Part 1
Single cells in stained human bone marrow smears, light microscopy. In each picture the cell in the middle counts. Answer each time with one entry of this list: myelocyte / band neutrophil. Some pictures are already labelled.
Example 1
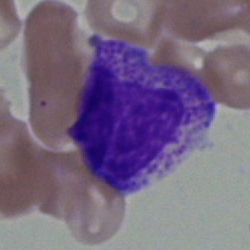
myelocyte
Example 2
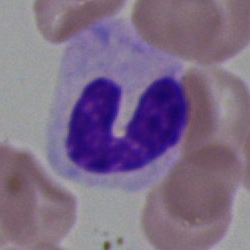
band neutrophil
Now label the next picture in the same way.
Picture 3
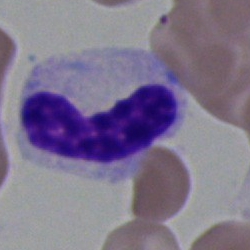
band neutrophil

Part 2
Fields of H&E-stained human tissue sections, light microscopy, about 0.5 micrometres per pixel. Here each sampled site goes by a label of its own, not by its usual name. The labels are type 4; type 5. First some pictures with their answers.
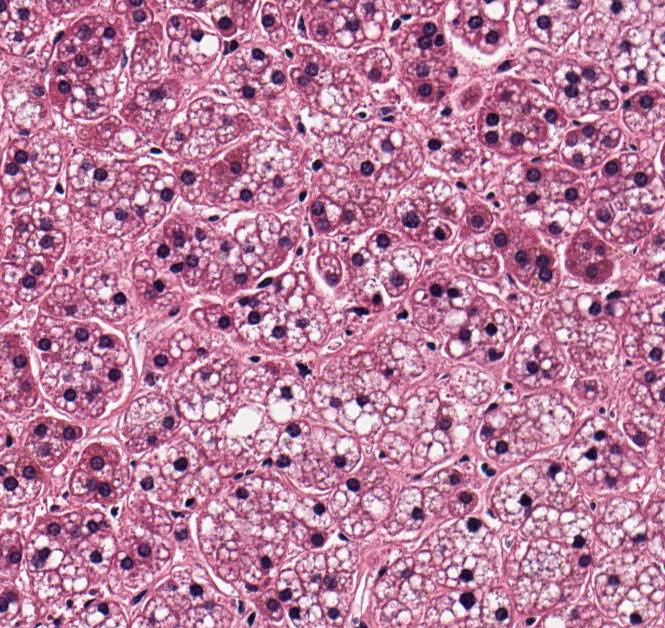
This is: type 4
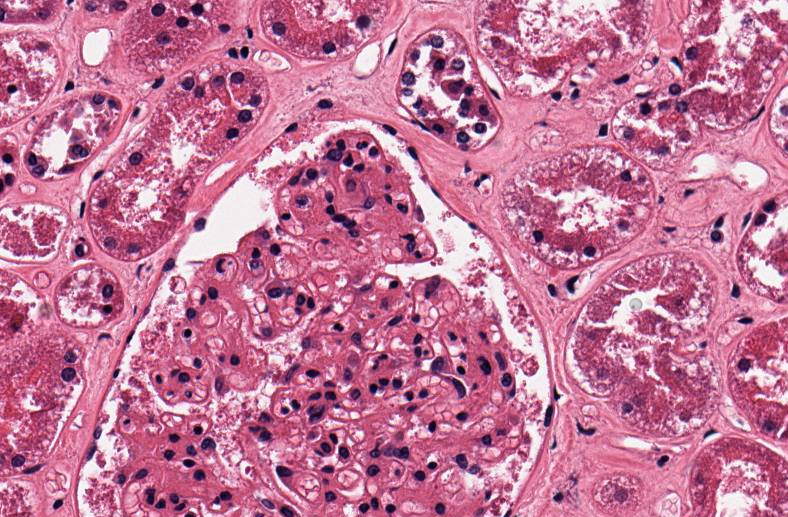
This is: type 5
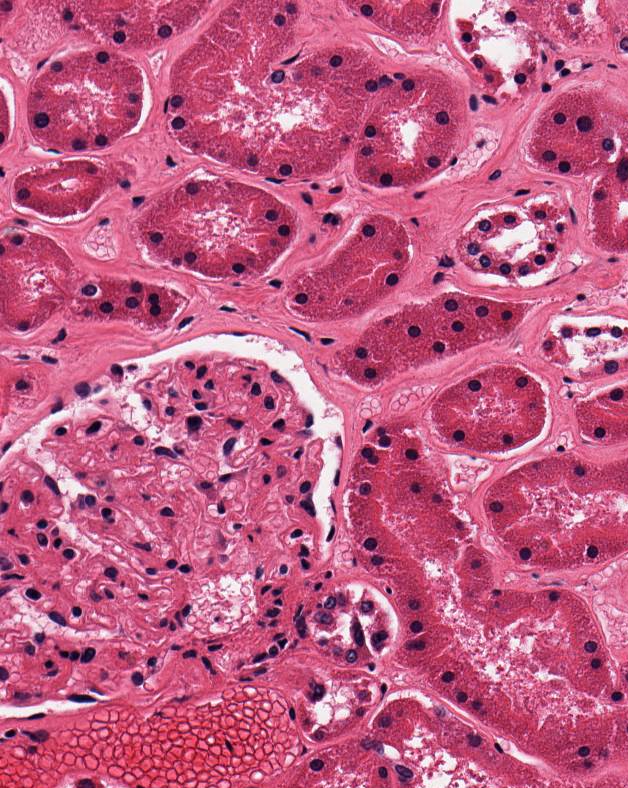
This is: type 5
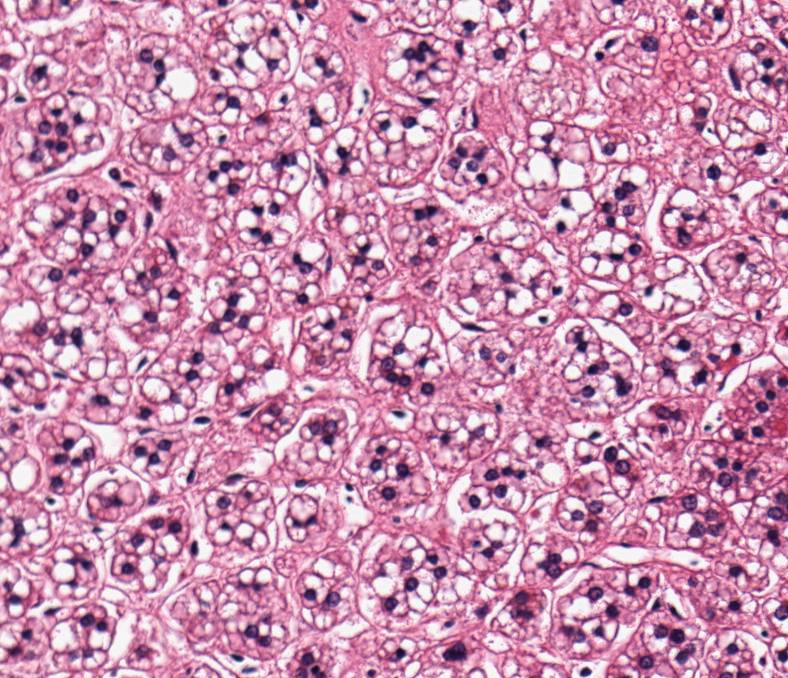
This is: type 4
